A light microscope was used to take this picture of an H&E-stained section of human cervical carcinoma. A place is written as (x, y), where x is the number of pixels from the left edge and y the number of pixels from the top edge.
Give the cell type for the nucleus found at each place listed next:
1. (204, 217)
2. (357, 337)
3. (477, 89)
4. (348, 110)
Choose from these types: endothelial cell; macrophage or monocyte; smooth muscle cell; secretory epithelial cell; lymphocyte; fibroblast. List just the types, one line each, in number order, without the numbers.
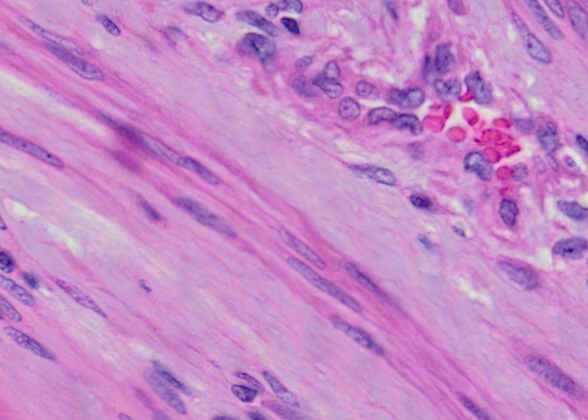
smooth muscle cell
smooth muscle cell
endothelial cell
endothelial cell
